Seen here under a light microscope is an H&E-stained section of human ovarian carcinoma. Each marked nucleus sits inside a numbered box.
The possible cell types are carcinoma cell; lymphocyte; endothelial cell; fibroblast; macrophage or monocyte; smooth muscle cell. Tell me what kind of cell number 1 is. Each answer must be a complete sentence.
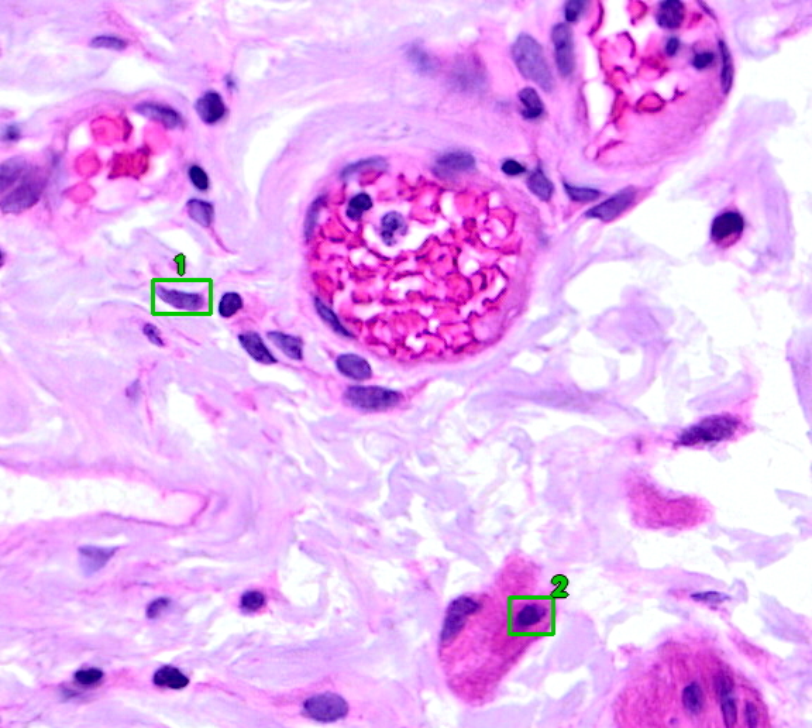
At number 1, the marked cell is a fibroblast.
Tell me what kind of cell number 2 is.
Cell 2 in the field of view is a smooth muscle cell.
